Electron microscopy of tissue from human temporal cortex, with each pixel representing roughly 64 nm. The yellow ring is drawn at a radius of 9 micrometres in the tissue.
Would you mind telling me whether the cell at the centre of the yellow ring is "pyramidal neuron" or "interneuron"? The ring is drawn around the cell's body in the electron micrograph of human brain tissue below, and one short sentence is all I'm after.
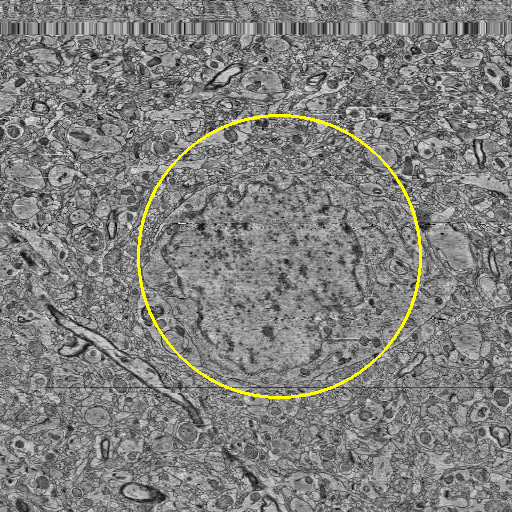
In the centre of the ring lies an interneuron.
